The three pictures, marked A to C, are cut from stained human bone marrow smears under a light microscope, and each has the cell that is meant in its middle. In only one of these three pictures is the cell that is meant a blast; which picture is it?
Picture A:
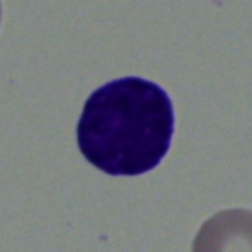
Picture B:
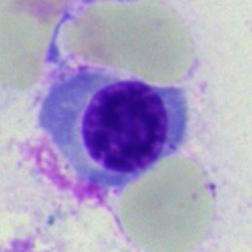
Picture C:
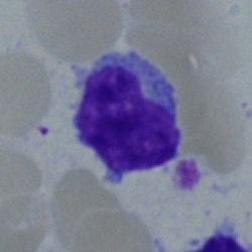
A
